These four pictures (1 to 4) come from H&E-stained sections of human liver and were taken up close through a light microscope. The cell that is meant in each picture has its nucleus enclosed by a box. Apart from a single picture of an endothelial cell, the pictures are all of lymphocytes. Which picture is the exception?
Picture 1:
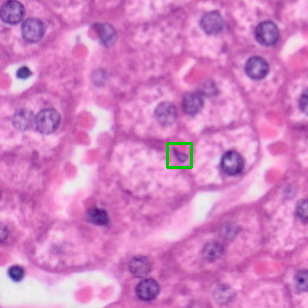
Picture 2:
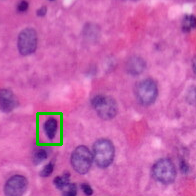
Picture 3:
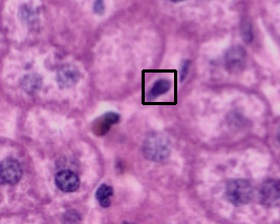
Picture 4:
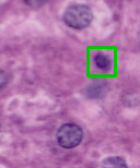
1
